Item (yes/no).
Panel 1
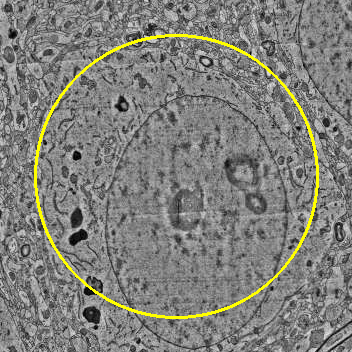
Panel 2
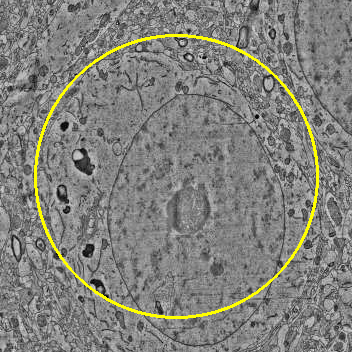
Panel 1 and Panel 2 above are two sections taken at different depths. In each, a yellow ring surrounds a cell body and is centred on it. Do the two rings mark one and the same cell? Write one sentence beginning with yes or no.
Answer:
Yes, the same cell has been marked in both yellow rings.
